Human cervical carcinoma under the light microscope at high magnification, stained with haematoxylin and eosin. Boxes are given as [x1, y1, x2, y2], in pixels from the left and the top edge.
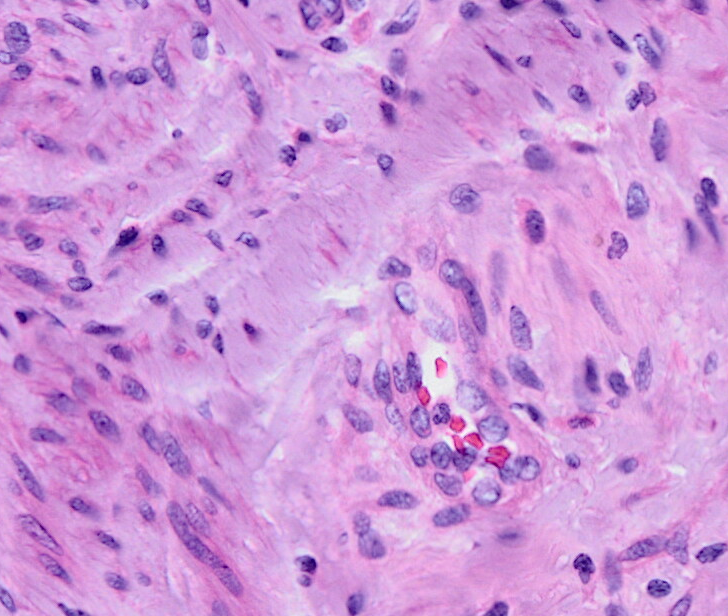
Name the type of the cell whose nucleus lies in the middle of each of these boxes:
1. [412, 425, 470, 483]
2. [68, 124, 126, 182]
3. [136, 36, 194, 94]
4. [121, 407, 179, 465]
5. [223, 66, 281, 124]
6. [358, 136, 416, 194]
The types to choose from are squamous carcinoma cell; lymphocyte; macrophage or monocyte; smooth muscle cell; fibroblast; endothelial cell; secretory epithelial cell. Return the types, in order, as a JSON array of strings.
["endothelial cell", "smooth muscle cell", "smooth muscle cell", "smooth muscle cell", "smooth muscle cell", "fibroblast"]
